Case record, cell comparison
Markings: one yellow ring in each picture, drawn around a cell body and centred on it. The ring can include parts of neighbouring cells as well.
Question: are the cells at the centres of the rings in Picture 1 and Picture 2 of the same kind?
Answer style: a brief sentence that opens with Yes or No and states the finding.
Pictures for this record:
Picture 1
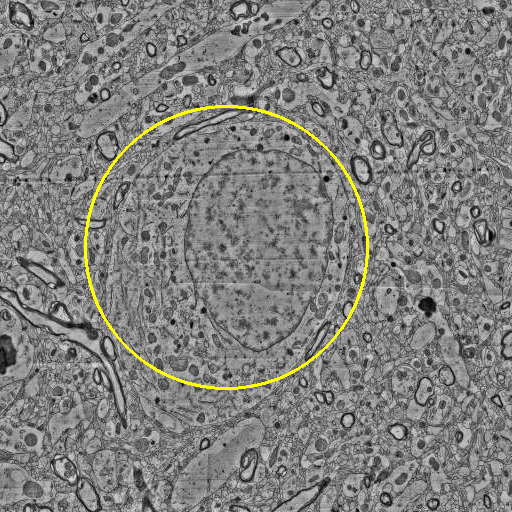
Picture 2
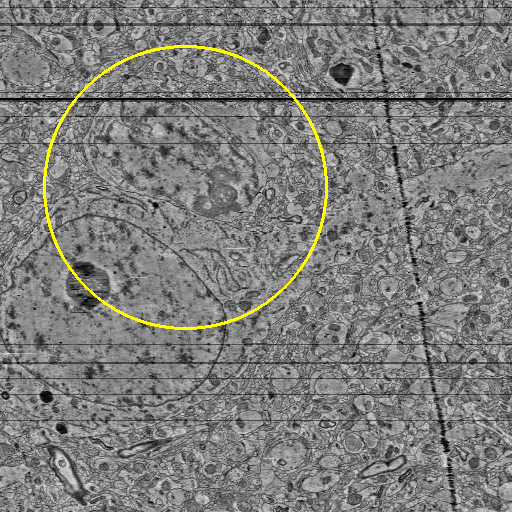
Yes, the cells in Picture 1 and Picture 2 are of the same kind.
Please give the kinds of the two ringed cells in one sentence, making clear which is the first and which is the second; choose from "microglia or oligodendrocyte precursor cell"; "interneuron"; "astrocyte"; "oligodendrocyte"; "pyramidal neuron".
The ring centre holds an interneuron in each of the two pictures.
